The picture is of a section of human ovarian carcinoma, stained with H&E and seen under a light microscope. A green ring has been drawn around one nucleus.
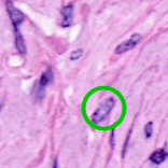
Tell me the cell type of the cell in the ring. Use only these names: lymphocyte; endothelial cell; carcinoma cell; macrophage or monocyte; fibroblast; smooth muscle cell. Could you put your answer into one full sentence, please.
On this particular slide, the cell in the ring is a fibroblast.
